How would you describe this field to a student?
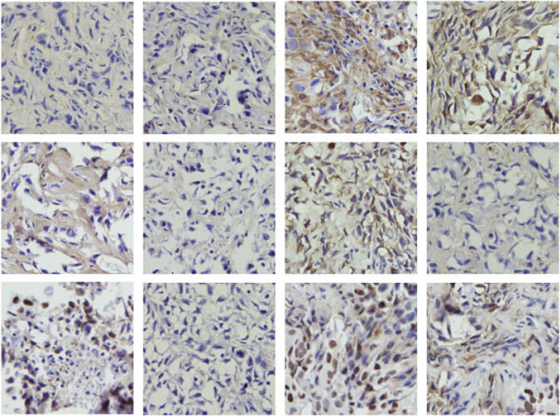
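A grid of high-power fields of tumor tissue made of crowded, elongated to irregular tumor cells with blue, oval to spindle-shaped nuclei, lying loosely in strands with pale spaces between them. In some fields brown stain fills the cytoplasm and lines the cell strands, while in the bottom row many nuclei are stained dark brown instead, and other fields are almost unstained apart from the blue nuclei.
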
